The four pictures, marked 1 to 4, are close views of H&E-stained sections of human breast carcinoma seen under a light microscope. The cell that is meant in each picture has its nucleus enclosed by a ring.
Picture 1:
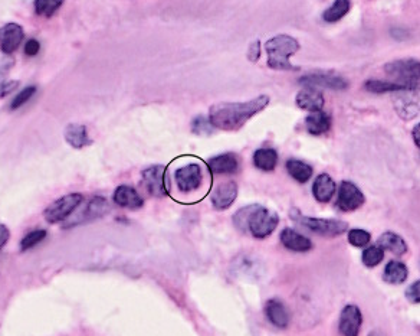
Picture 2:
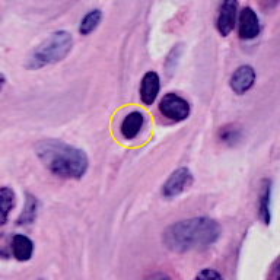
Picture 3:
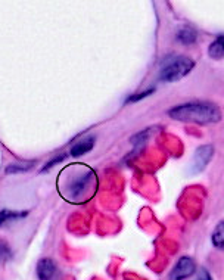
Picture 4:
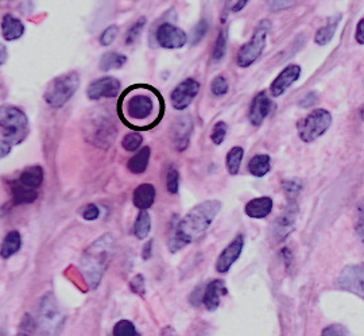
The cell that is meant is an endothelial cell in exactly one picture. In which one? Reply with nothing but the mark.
3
